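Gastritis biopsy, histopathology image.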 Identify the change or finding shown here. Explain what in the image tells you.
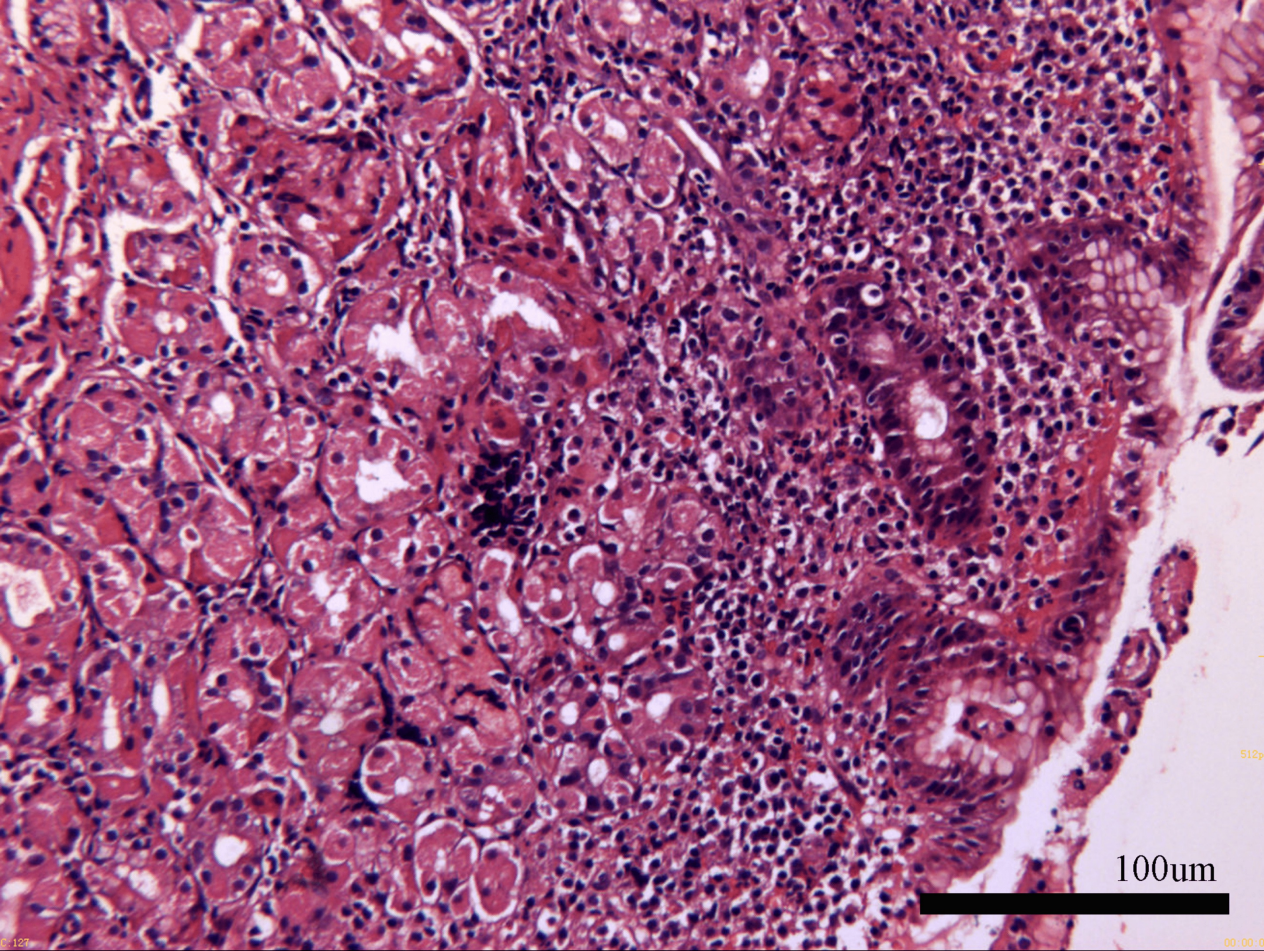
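The tissue between the glands in the right half is packed with small round cells with dark nuclei. These crowded cells push the glands apart. So: infiltration of plasma cells and lymphocytes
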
